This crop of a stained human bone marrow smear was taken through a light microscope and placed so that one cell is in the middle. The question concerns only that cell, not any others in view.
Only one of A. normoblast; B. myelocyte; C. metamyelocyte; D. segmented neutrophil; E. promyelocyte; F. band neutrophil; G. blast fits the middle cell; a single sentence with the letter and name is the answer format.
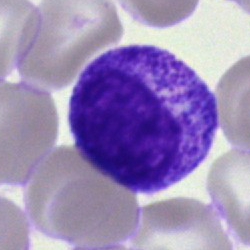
Option B is the correct option, with the middle cell being a myelocyte.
